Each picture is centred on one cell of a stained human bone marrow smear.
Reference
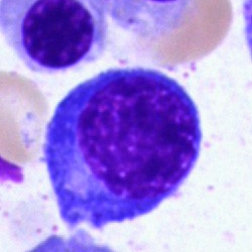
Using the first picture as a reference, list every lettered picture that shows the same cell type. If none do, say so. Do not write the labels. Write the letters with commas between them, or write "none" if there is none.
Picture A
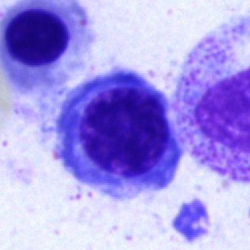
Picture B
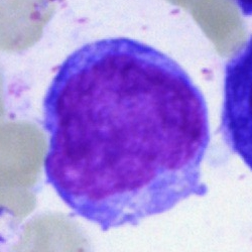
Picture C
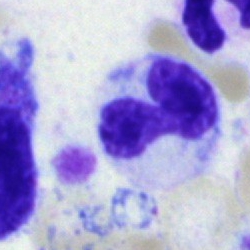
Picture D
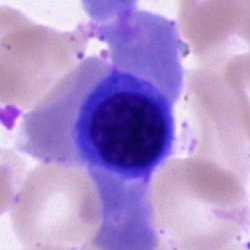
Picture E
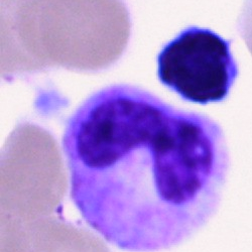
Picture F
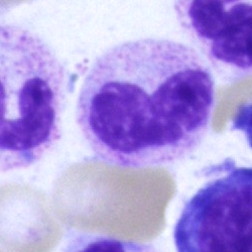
A, D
